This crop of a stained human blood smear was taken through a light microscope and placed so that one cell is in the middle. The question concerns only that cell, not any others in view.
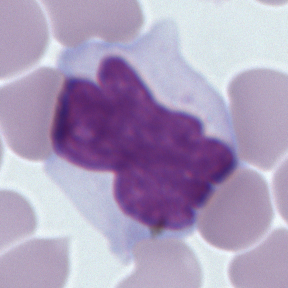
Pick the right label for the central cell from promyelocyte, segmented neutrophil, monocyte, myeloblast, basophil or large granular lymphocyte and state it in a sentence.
Located at the centre of the crop is a monocyte.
